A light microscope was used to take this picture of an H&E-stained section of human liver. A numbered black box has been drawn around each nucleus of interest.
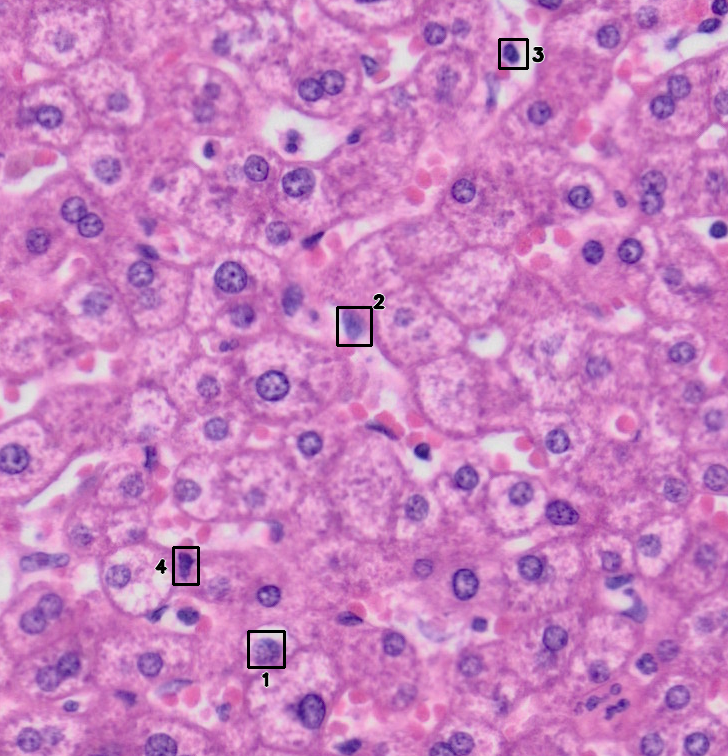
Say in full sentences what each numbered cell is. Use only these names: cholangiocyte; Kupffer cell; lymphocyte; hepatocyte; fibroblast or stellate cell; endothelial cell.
Cell 1 is a hepatocyte. Cell 2 is an endothelial cell. Cell 3 is a lymphocyte. Cell 4 is a fibroblast or stellate cell.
